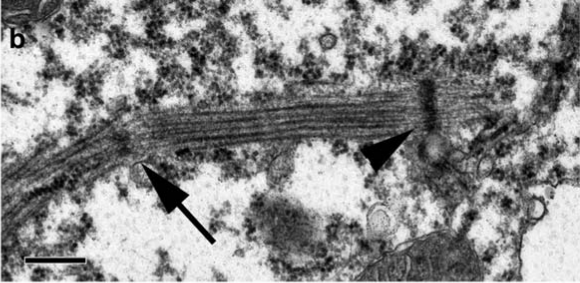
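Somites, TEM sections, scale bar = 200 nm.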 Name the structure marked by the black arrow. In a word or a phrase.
immature Z-disc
